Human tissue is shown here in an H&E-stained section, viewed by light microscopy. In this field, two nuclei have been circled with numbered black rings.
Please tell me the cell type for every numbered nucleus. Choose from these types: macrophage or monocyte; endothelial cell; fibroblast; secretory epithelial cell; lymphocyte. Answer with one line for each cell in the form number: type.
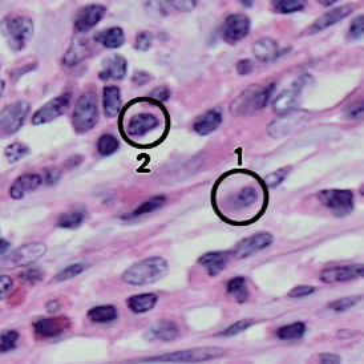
1: macrophage or monocyte
2: lymphocyte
